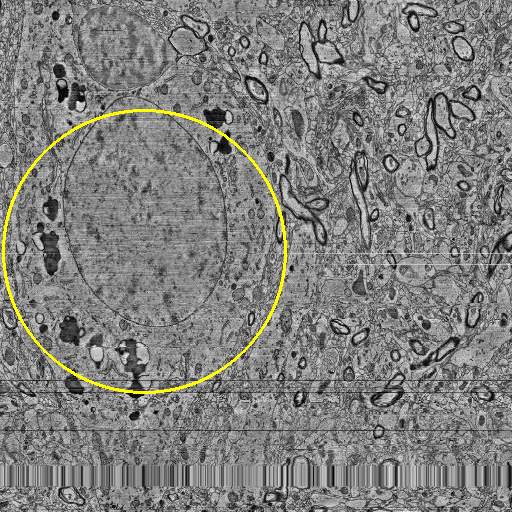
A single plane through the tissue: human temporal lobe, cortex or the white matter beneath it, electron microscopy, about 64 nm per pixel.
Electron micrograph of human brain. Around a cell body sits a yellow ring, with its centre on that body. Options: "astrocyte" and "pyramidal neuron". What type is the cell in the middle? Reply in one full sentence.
The cell sitting at the centre of the yellow ring is a pyramidal neuron.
